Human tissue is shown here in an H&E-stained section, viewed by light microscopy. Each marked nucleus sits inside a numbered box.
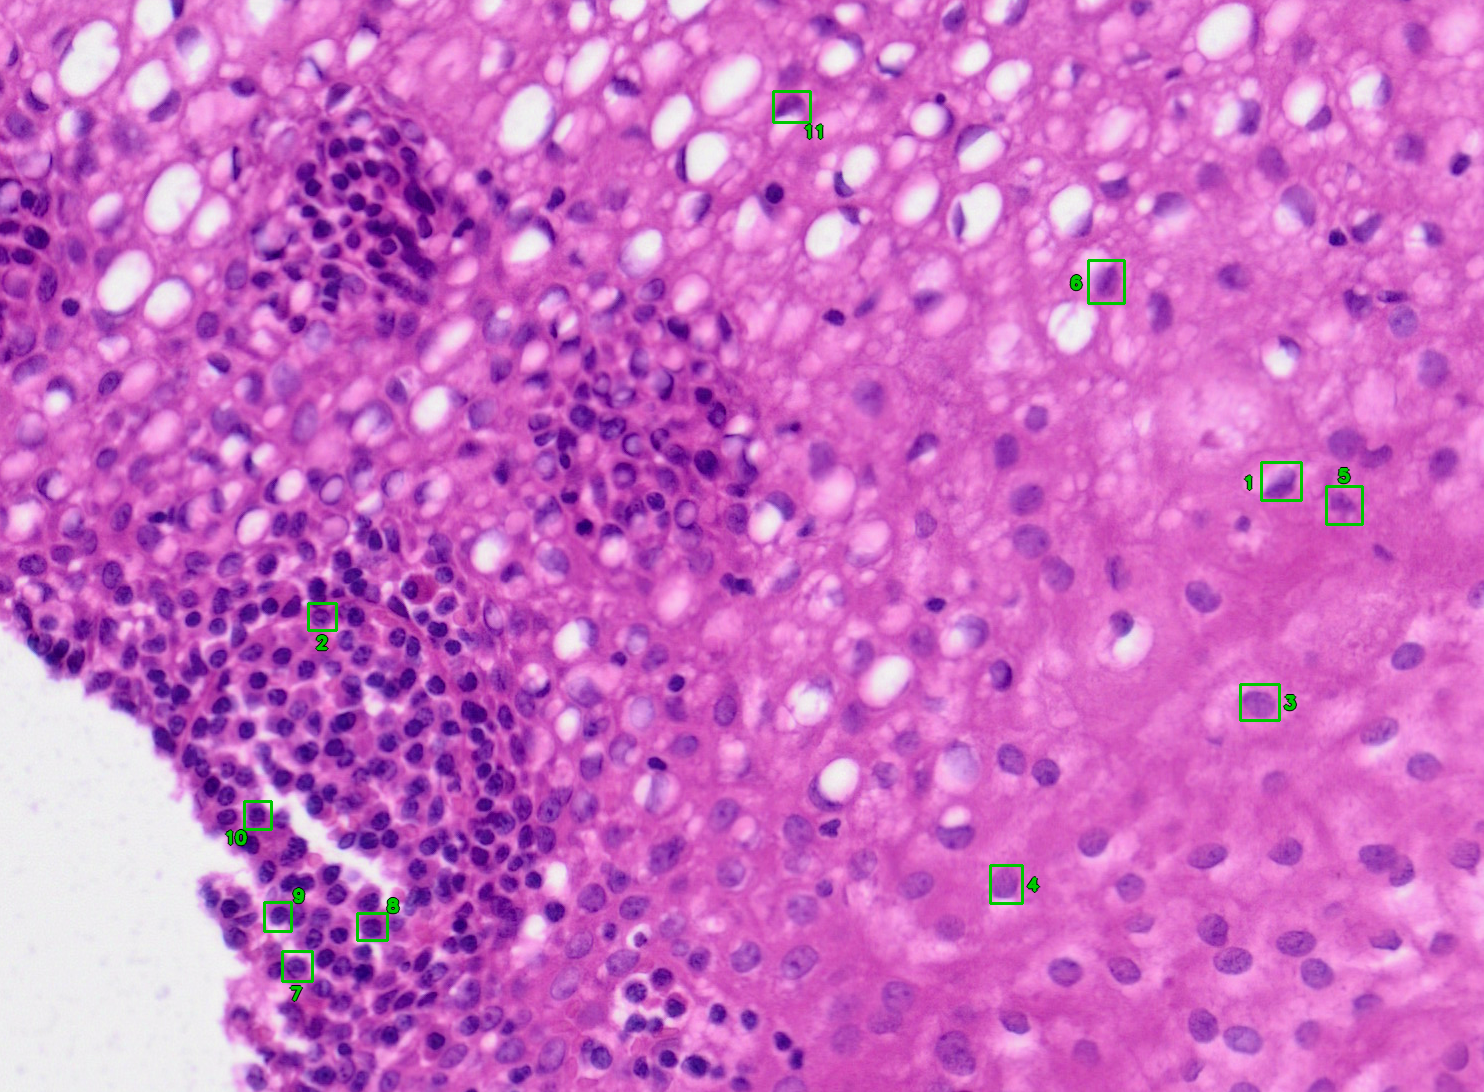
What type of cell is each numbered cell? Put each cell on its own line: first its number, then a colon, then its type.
1: squamous epithelial cell
2: plasma cell
3: squamous epithelial cell
4: squamous epithelial cell
5: squamous epithelial cell
6: squamous epithelial cell
7: plasma cell
8: plasma cell
9: plasma cell
10: plasma cell
11: squamous epithelial cell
